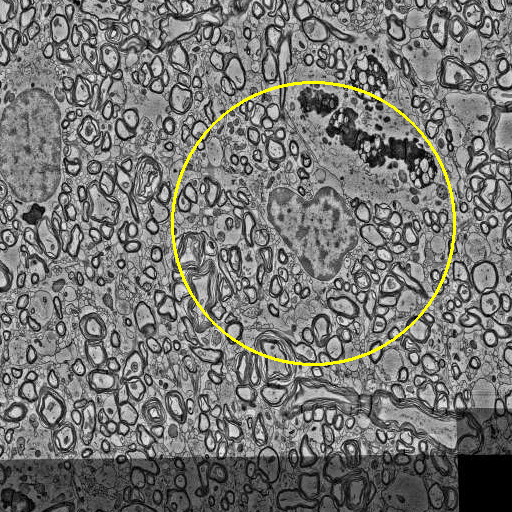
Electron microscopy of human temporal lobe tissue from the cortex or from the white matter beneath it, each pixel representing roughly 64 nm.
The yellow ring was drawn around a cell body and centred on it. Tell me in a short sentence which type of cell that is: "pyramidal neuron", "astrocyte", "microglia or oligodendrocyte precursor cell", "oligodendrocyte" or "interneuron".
The cell at the ring's centre is a microglial cell or oligodendrocyte precursor cell.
